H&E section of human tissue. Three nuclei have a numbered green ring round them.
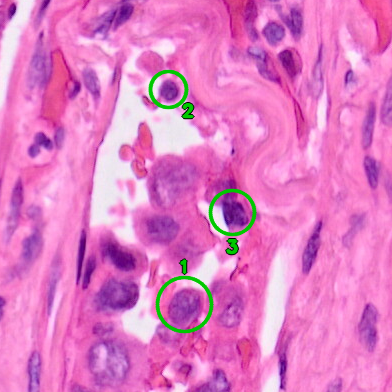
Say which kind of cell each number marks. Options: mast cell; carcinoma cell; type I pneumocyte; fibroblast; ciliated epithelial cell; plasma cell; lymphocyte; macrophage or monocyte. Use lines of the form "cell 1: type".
cell 1: carcinoma cell
cell 2: lymphocyte
cell 3: carcinoma cell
